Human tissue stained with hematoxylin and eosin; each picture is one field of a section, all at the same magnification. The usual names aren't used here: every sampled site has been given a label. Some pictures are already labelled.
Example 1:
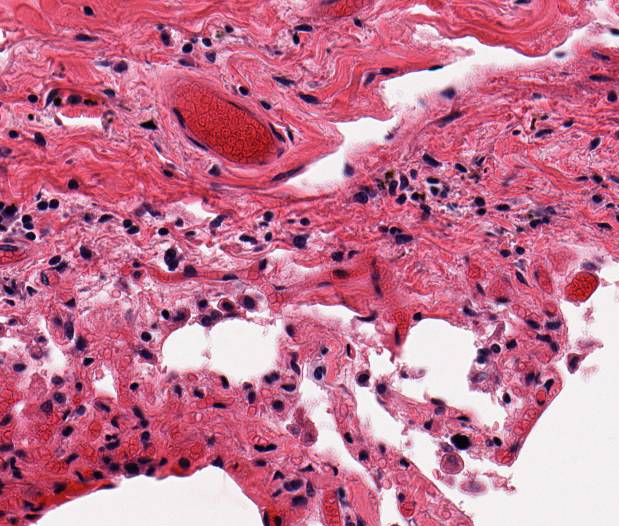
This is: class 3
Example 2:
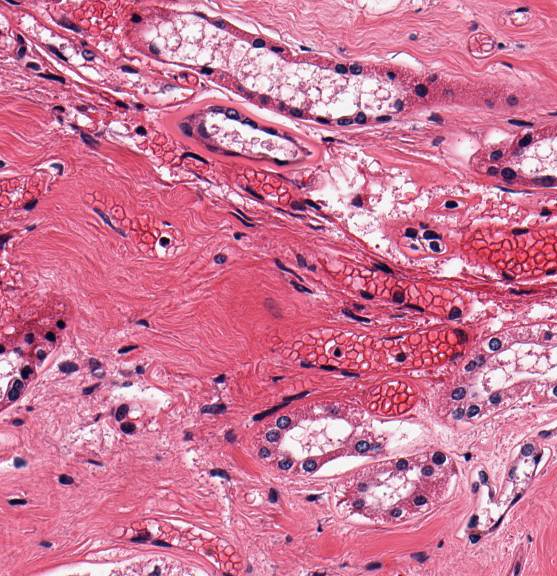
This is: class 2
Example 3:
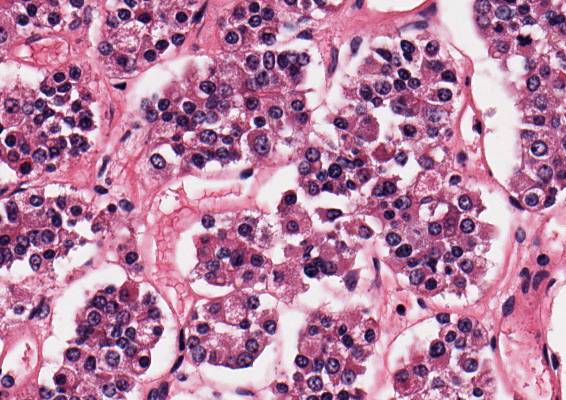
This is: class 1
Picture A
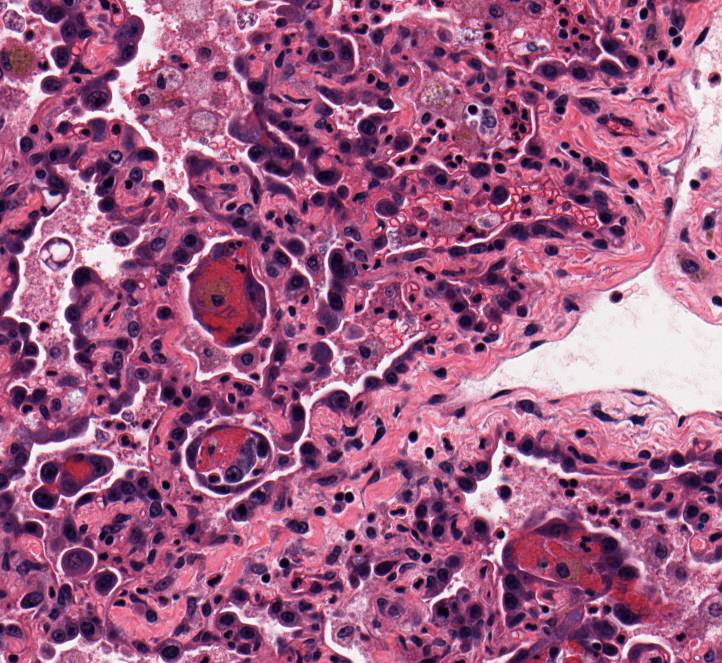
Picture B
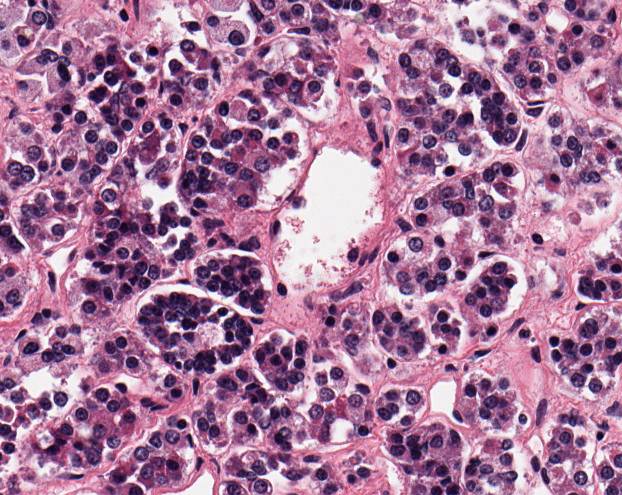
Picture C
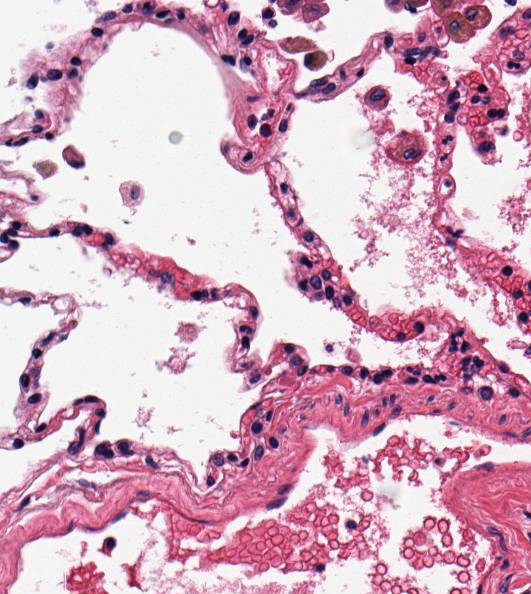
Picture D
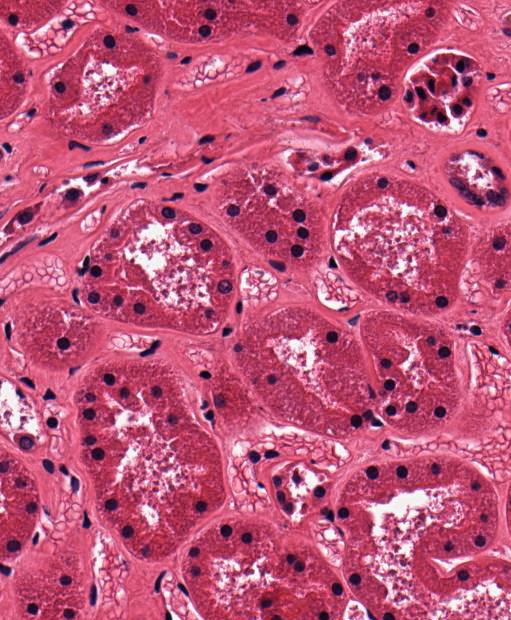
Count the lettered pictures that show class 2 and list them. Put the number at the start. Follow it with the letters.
1: D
